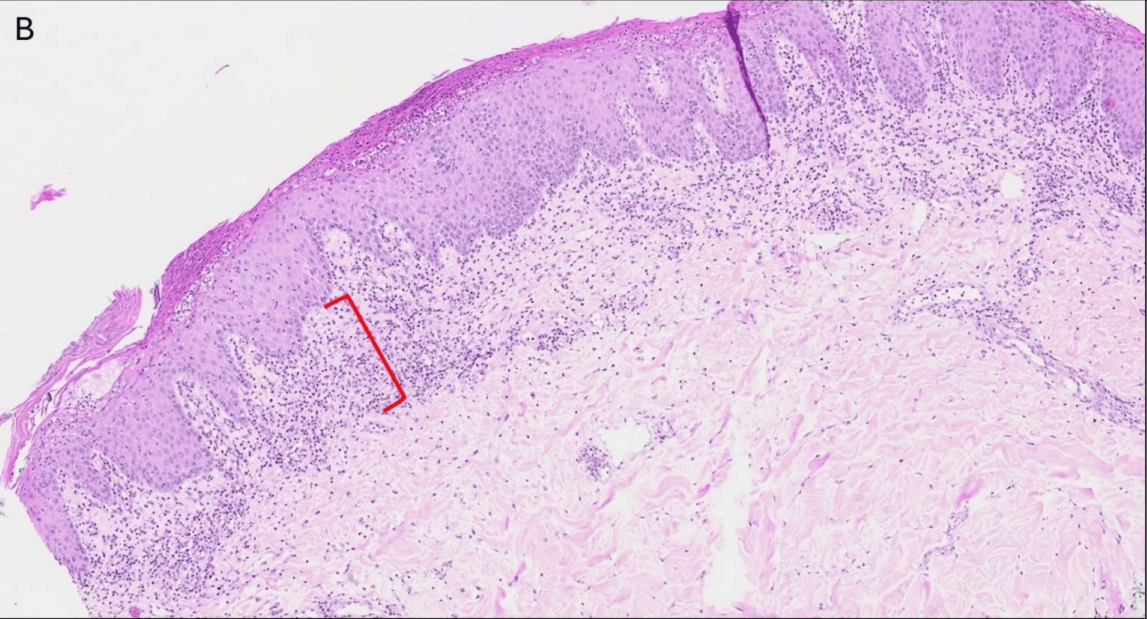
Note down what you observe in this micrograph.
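Skin with a thickened epidermis of keratinocytes forming elongated rete ridges, overlying a dermis with a dense band of inflammatory cells. The small, dark, round nuclei of these cells crowd the upper dermis and lie right against the dermal-epidermal junction. The lower border of the epidermis is blurred where the inflammatory cells abut it. A compact pink layer covers the epidermal surface. Beneath the band, the deeper dermis is pale pink and fibrous, with scattered cells and a few small vessels.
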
